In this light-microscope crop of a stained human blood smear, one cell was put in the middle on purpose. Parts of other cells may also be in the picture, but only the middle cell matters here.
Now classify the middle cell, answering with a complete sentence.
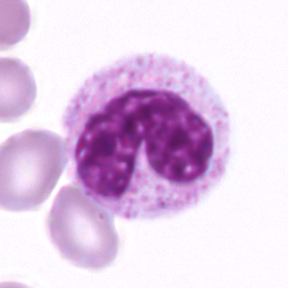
Regarding the central cell, it is a band neutrophil.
